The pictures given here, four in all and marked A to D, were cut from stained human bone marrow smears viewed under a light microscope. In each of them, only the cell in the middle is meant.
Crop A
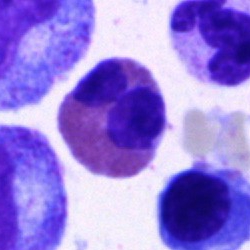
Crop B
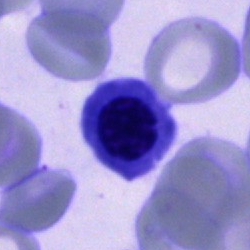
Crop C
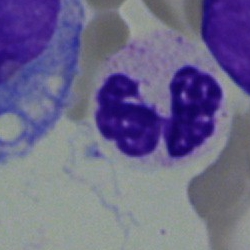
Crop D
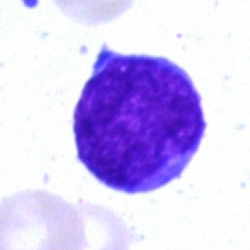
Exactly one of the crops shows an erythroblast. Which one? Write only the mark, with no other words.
B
